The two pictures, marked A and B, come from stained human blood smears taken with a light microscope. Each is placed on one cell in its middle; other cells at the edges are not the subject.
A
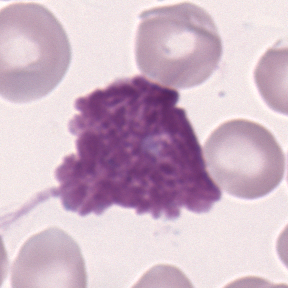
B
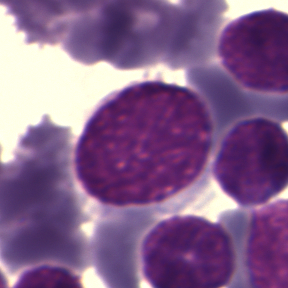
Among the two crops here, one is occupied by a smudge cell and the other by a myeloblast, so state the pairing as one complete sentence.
The designated cell in crop A is a smudge cell, and the designated cell in crop B is a myeloblast.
